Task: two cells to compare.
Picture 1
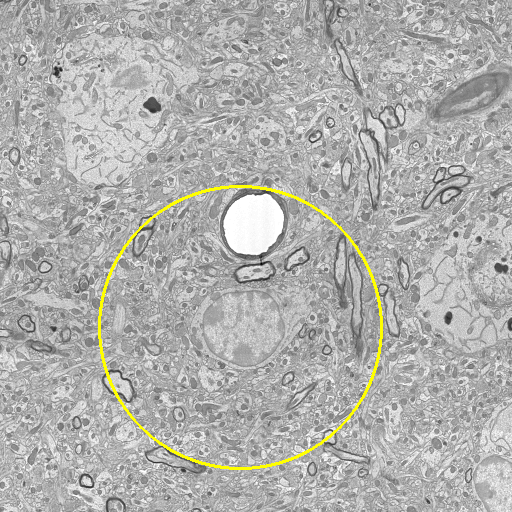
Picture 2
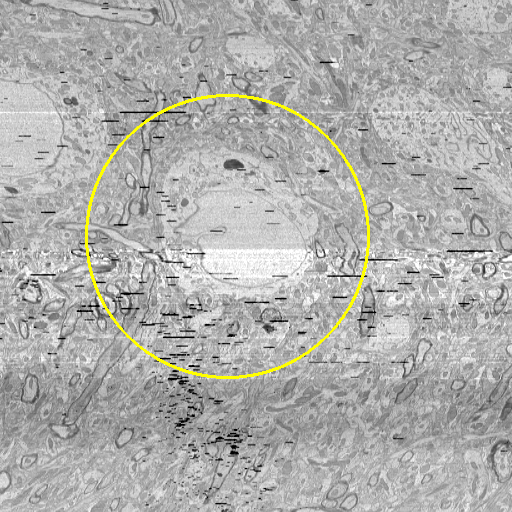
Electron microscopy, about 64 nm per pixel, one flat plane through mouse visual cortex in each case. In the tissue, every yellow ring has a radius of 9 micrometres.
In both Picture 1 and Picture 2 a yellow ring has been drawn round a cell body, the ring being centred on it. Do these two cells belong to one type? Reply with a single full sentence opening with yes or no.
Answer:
No, the two cells at the ring centres in Picture 1 and Picture 2 are of two types.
